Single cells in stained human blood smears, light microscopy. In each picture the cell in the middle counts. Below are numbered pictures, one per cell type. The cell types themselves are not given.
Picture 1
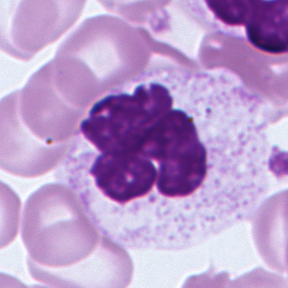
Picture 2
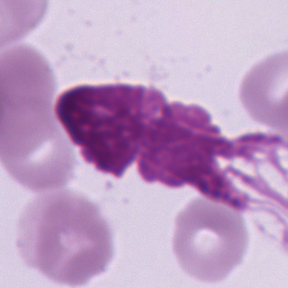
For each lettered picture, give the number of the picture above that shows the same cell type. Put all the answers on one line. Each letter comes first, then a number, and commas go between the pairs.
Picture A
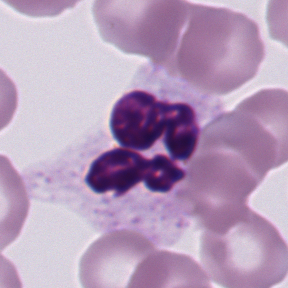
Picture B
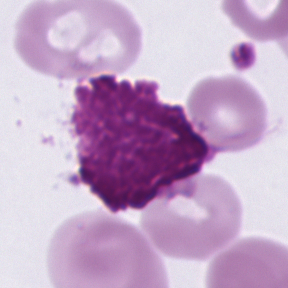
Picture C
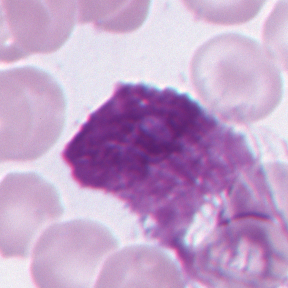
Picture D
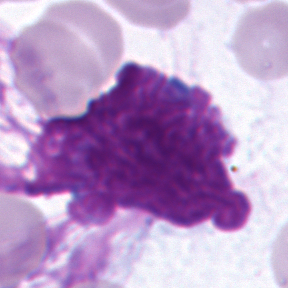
A 1, B 2, C 2, D 2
